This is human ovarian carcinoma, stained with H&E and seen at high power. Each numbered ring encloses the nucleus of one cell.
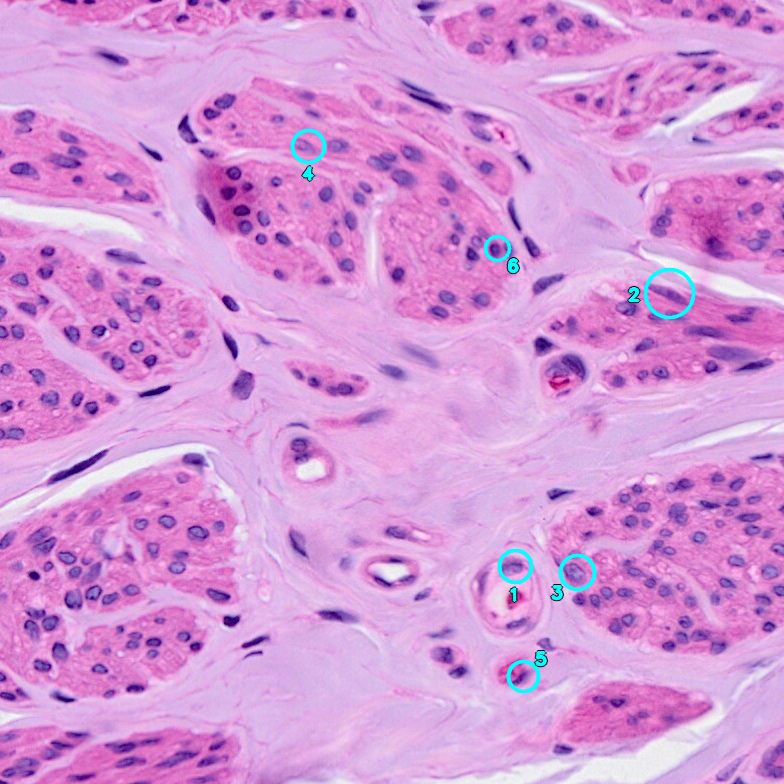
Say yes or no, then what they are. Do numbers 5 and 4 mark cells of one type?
No, cell 5 here is an endothelial cell, and cell 4 here is a smooth muscle cell.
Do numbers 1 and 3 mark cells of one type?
No; whereas cell 1 is an endothelial cell, cell 3 is a smooth muscle cell.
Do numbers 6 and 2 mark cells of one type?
Yes, cells 6 and 2 are both smooth muscle cells and thus of one type.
